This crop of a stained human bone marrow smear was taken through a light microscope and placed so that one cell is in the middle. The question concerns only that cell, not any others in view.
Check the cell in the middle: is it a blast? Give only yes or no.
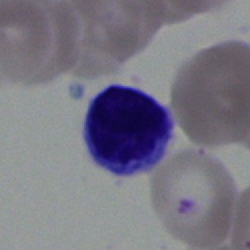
no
